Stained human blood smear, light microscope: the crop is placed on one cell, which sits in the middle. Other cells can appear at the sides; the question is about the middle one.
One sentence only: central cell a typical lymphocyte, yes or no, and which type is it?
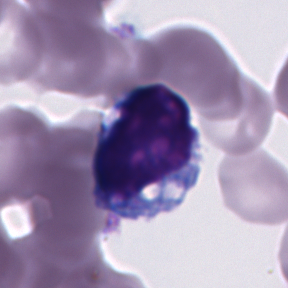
Yes, placed in the middle of the crop is a typical lymphocyte.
